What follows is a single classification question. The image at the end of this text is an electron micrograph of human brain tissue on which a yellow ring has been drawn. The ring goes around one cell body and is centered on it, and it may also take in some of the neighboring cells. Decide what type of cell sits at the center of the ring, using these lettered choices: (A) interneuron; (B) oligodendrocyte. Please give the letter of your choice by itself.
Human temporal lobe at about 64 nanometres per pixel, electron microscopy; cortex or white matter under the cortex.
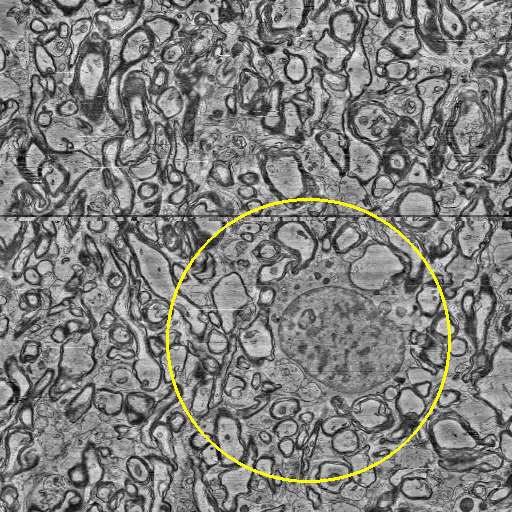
B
